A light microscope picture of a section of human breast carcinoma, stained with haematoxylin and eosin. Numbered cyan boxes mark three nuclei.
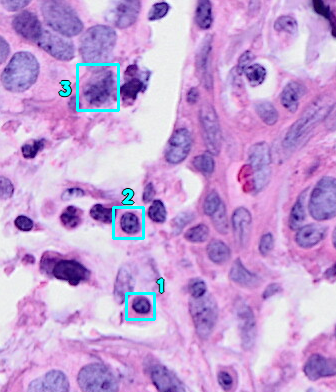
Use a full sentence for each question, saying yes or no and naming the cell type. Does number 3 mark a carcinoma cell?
Yes, regarding number 3, the cell is a carcinoma cell.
